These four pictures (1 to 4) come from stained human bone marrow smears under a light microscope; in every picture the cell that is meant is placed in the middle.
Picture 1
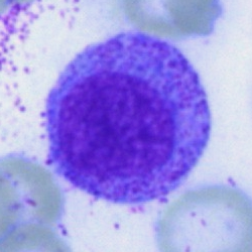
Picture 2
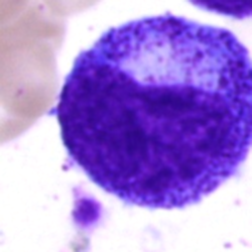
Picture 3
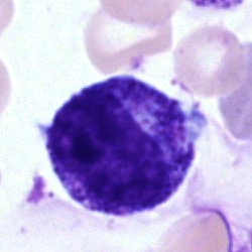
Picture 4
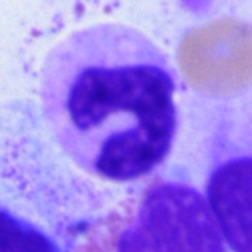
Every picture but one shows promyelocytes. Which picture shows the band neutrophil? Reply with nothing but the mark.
4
